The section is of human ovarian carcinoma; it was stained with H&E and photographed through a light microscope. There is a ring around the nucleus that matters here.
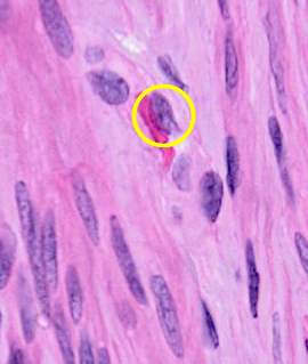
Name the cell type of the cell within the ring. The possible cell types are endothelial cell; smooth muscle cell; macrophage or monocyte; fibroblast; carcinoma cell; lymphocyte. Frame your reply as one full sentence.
In short, the cell within the ring on this section is an endothelial cell.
